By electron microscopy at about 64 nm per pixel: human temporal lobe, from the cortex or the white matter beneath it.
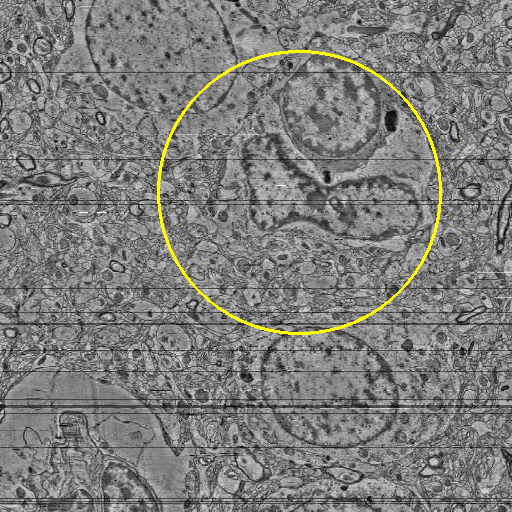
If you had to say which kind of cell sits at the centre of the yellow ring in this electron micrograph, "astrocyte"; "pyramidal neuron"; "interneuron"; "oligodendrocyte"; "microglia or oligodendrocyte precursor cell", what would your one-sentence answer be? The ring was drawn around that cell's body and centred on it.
The cell sitting at the centre of the ring is a microglial cell or oligodendrocyte precursor cell.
